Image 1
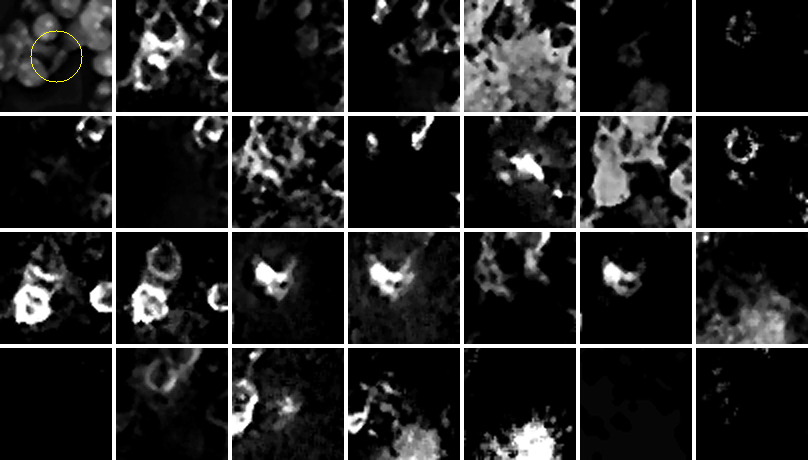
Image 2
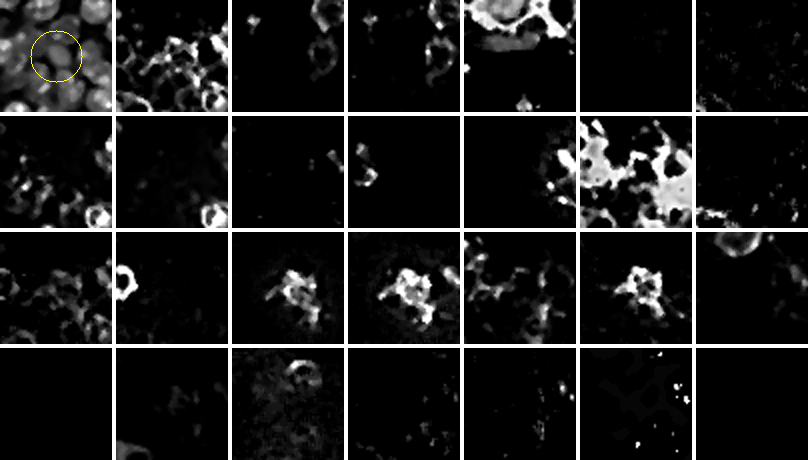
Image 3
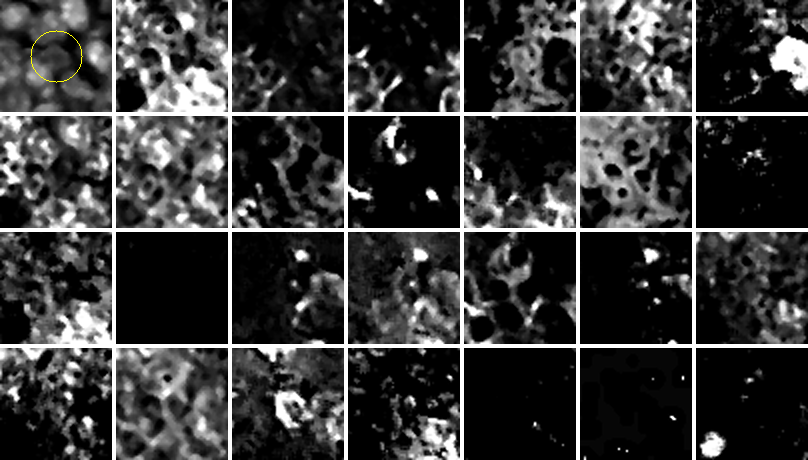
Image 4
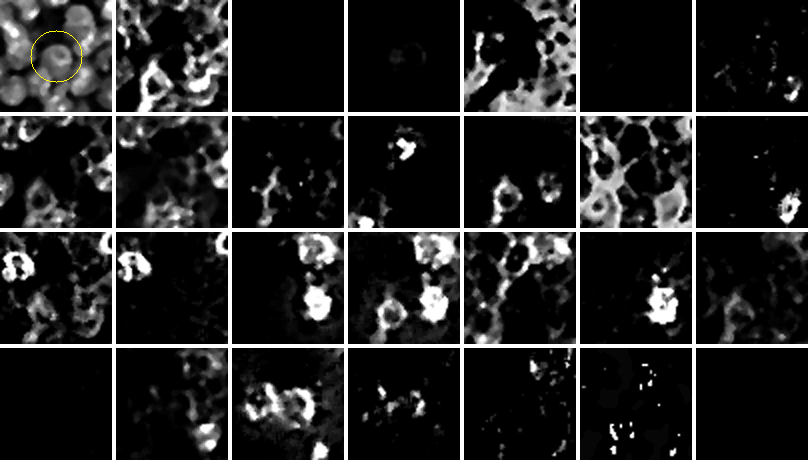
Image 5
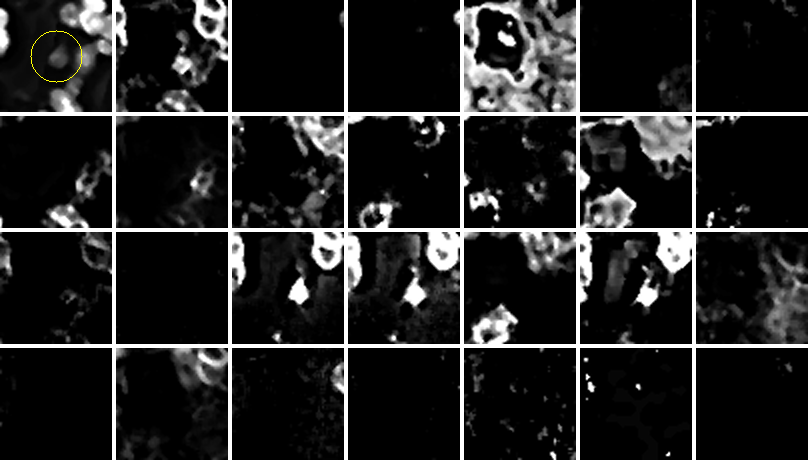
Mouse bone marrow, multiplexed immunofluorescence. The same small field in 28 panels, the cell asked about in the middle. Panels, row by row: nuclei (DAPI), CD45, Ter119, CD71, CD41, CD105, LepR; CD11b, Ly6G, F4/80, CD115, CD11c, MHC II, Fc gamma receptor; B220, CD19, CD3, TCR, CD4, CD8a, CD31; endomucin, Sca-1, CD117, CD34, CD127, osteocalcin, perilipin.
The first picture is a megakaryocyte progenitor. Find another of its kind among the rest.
Picture 3.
